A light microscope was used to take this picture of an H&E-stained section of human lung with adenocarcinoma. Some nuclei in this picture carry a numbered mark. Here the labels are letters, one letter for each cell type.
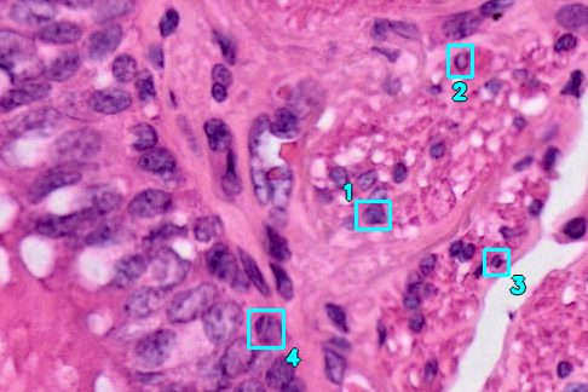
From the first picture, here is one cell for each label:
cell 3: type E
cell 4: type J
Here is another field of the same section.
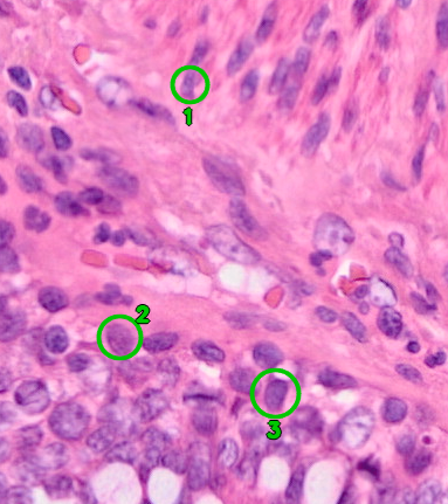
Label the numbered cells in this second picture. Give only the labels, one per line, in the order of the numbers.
type E
type J
type J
